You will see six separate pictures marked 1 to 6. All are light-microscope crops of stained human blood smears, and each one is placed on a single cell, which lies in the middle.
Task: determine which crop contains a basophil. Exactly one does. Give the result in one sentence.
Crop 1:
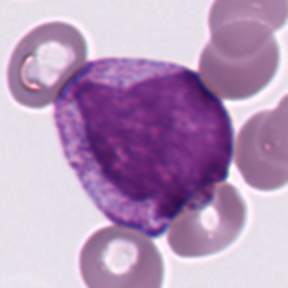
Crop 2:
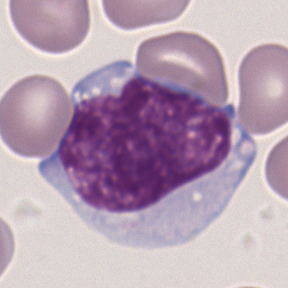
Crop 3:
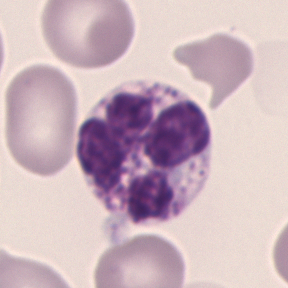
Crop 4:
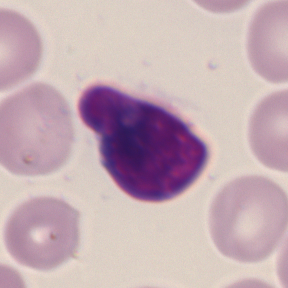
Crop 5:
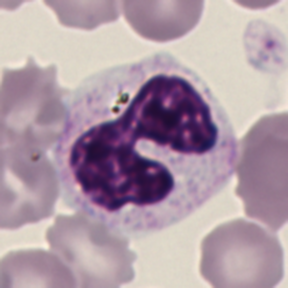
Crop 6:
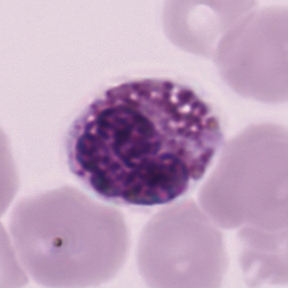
Among all the crops given here, the one with a basophil is crop 3.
